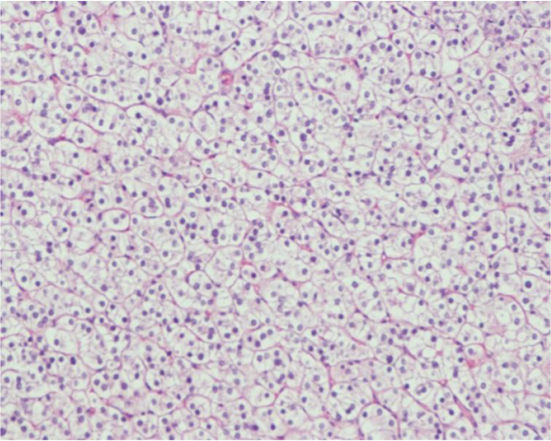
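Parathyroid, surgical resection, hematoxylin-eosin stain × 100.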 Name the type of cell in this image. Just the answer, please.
Water clear cells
